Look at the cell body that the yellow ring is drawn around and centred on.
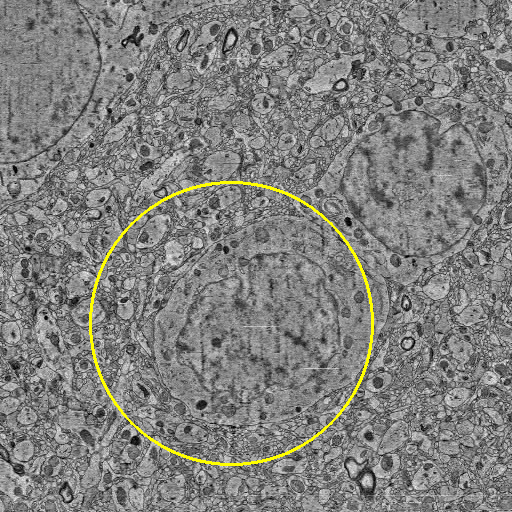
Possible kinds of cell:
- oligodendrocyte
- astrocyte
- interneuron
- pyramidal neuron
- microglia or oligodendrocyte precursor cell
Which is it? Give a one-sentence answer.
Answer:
The centred cell body is that of an interneuron.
